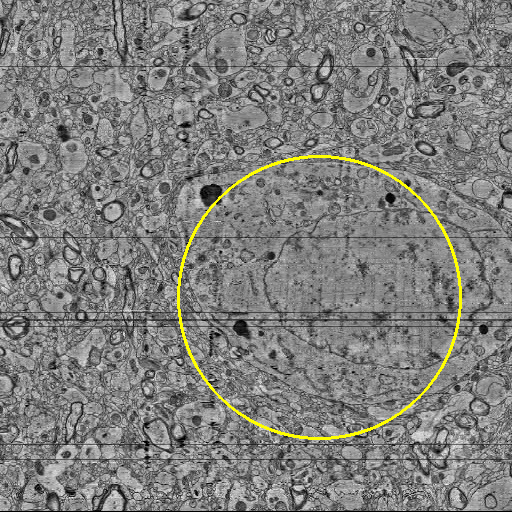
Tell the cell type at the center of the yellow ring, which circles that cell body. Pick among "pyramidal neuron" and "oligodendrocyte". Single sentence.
The ring is centered on the body of a pyramidal neuron.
